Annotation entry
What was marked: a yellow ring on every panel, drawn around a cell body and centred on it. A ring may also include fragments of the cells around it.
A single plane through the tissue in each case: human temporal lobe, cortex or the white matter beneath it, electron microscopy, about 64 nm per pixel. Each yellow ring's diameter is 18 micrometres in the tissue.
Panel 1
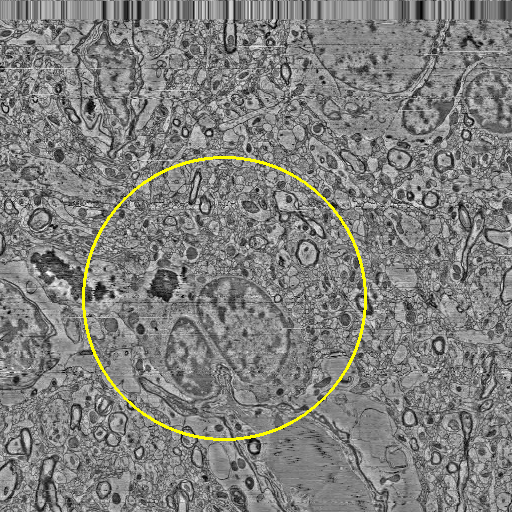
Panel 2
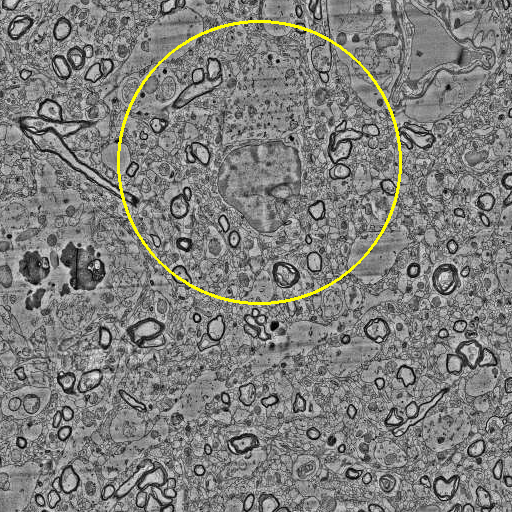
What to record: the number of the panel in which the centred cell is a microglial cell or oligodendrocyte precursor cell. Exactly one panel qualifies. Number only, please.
2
